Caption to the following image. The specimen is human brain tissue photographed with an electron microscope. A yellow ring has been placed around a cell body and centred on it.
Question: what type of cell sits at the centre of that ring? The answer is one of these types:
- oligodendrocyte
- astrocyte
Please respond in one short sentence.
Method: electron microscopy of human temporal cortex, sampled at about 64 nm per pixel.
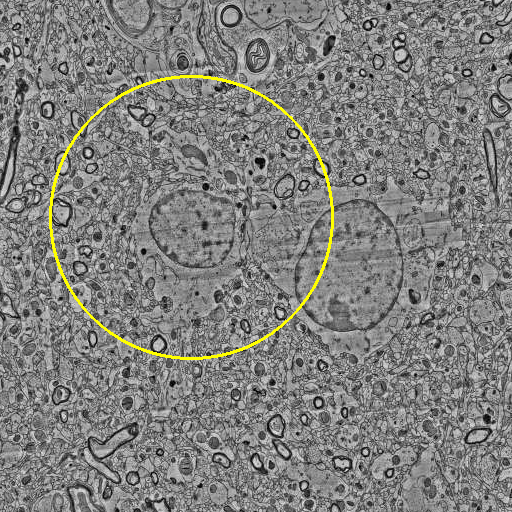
The ring surrounds the cell body of an astrocyte.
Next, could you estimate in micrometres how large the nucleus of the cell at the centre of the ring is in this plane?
Roughly 6 by 5 micrometres in this plane, for the nucleus of the ringed cell.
